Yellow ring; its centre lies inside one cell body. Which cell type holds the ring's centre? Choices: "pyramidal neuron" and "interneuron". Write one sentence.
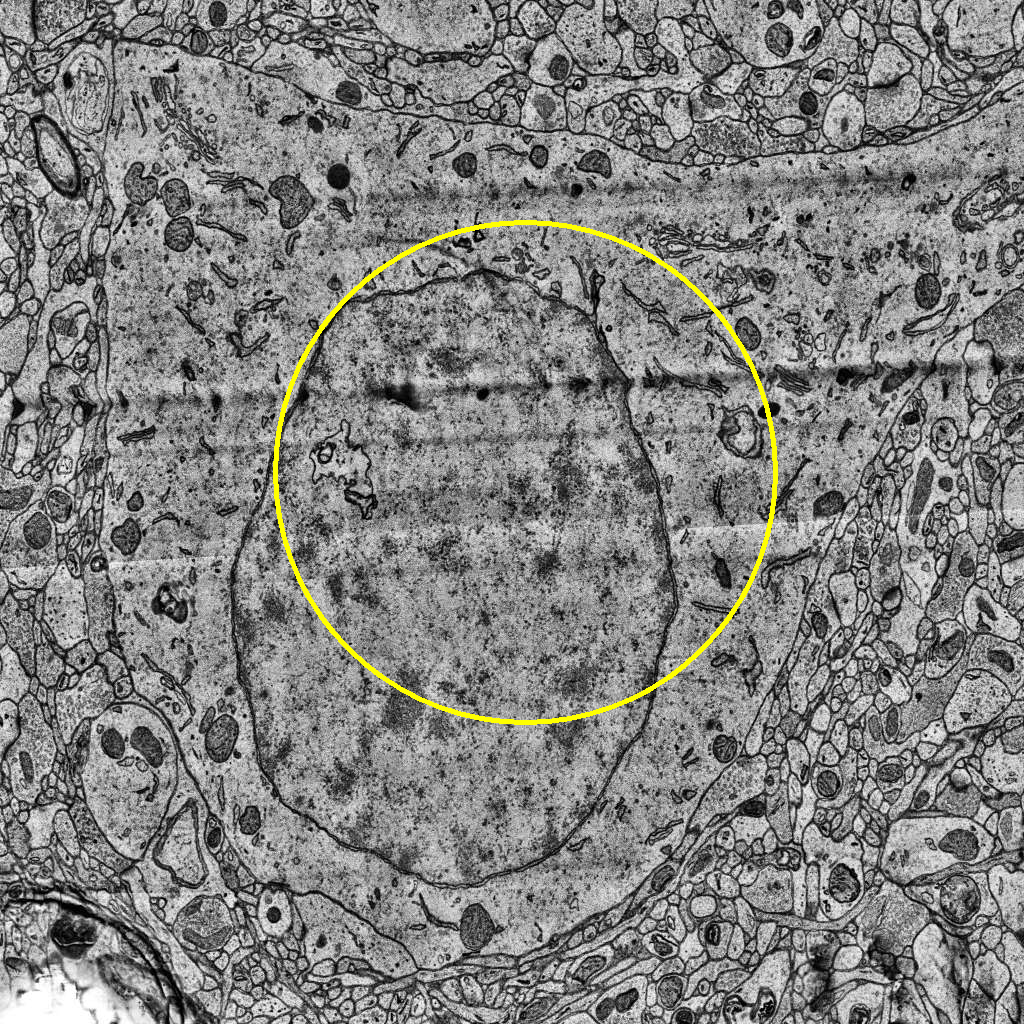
At the centre of the ring sits a pyramidal neuron.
